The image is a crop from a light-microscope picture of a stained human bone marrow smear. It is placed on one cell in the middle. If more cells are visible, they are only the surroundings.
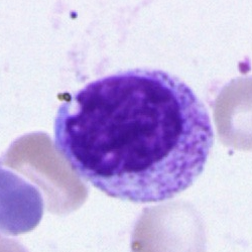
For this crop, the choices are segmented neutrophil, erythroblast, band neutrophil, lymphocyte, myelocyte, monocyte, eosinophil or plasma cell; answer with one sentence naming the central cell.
At the crop's centre, the cell is a myelocyte.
